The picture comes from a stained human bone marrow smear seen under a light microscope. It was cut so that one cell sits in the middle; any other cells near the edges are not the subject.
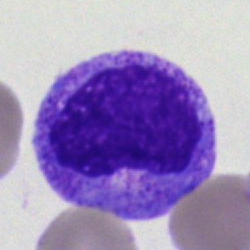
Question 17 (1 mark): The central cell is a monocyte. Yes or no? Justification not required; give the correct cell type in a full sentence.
No, at the centre of this crop is found a metamyelocyte instead of a monocyte.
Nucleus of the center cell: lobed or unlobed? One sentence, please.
Its nucleus is compact and single, with a round, oval or kidney-shaped form.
